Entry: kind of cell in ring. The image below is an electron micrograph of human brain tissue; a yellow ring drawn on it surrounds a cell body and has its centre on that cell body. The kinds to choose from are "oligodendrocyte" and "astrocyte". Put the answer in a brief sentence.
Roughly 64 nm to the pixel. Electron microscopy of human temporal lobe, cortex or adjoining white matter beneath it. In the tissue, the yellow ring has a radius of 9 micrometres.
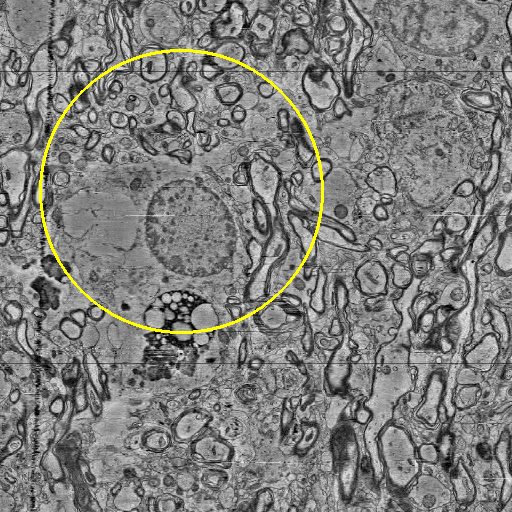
The ring has been drawn around an astrocyte.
